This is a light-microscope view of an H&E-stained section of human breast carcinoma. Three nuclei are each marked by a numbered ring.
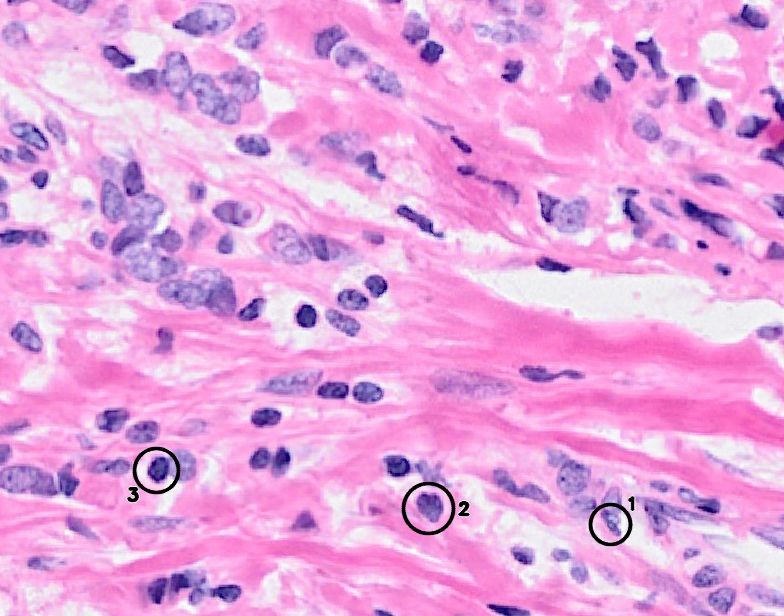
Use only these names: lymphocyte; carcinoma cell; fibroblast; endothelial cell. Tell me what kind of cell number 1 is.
endothelial cell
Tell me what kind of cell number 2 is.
lymphocyte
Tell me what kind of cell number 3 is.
lymphocyte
